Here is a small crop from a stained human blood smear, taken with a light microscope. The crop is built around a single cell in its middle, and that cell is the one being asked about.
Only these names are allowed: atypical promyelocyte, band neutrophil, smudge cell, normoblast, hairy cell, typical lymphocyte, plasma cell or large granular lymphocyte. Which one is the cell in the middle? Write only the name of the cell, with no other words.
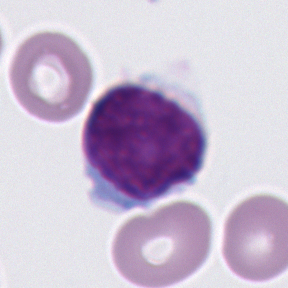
typical lymphocyte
